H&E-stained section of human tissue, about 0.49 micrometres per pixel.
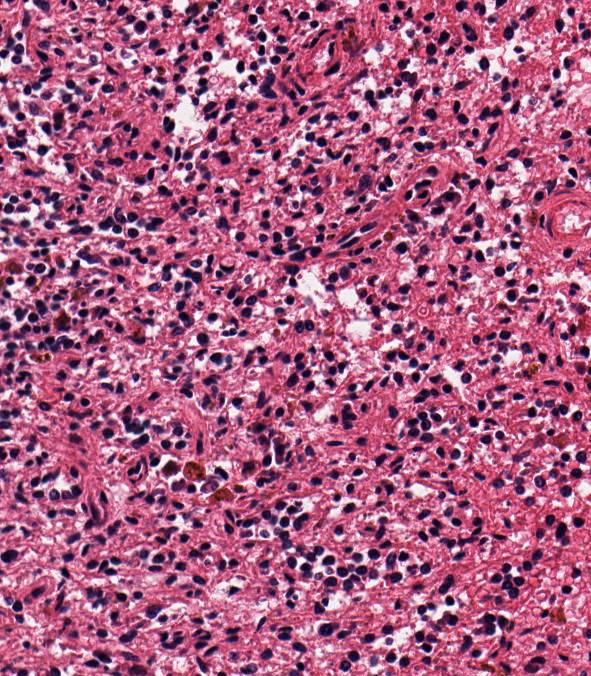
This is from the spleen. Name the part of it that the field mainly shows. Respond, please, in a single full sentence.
The part of the tissue seen in this section is red pulp.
